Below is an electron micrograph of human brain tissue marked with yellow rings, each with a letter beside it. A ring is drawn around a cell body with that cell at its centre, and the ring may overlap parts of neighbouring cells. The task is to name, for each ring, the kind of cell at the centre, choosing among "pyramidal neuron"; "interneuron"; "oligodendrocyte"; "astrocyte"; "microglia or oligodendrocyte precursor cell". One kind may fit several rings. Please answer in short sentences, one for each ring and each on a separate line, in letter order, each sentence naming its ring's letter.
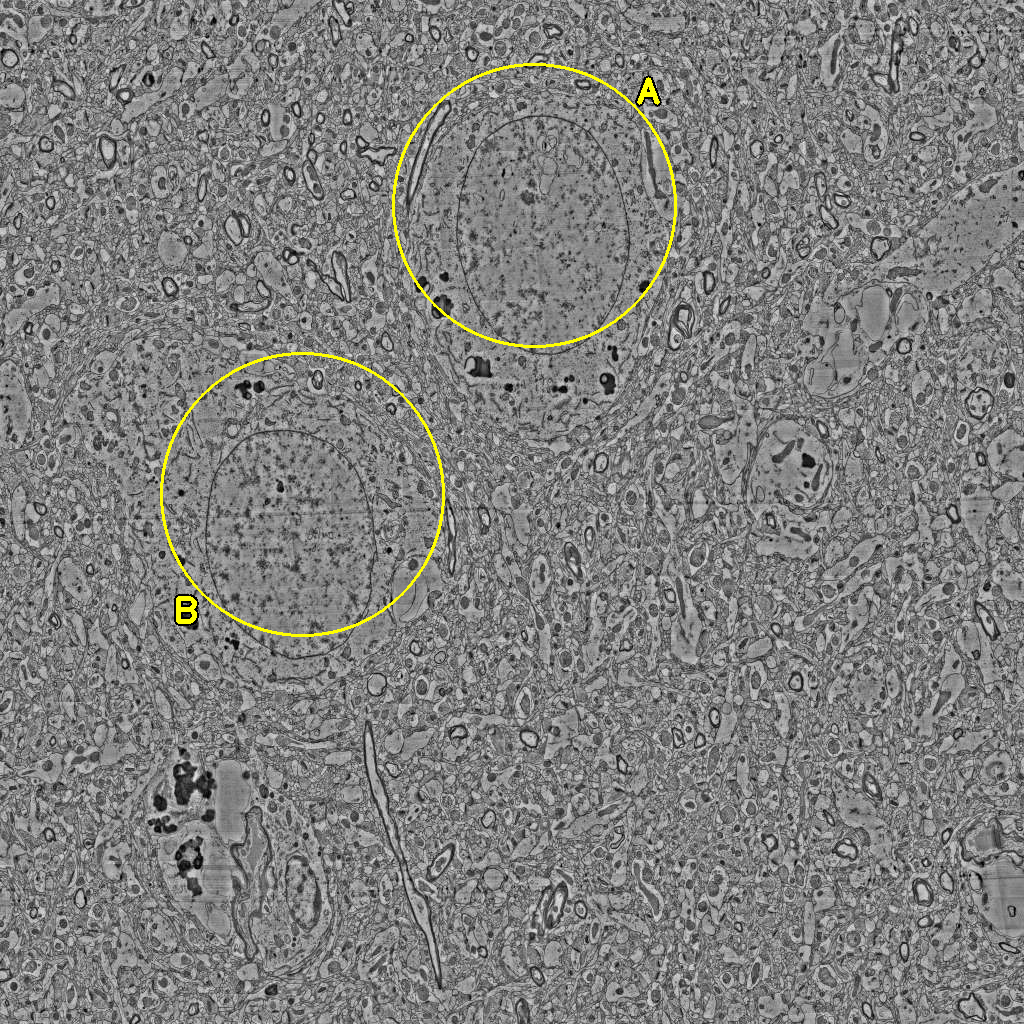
The ring with letter A is centred on a pyramidal neuron.
The ring with letter B is centred on a pyramidal neuron.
